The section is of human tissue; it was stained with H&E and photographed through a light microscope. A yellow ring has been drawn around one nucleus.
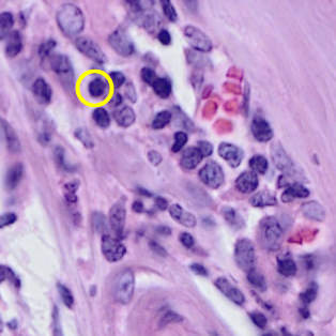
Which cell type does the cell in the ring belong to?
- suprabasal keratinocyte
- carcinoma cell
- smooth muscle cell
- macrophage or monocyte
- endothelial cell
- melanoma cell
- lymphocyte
lymphocyte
